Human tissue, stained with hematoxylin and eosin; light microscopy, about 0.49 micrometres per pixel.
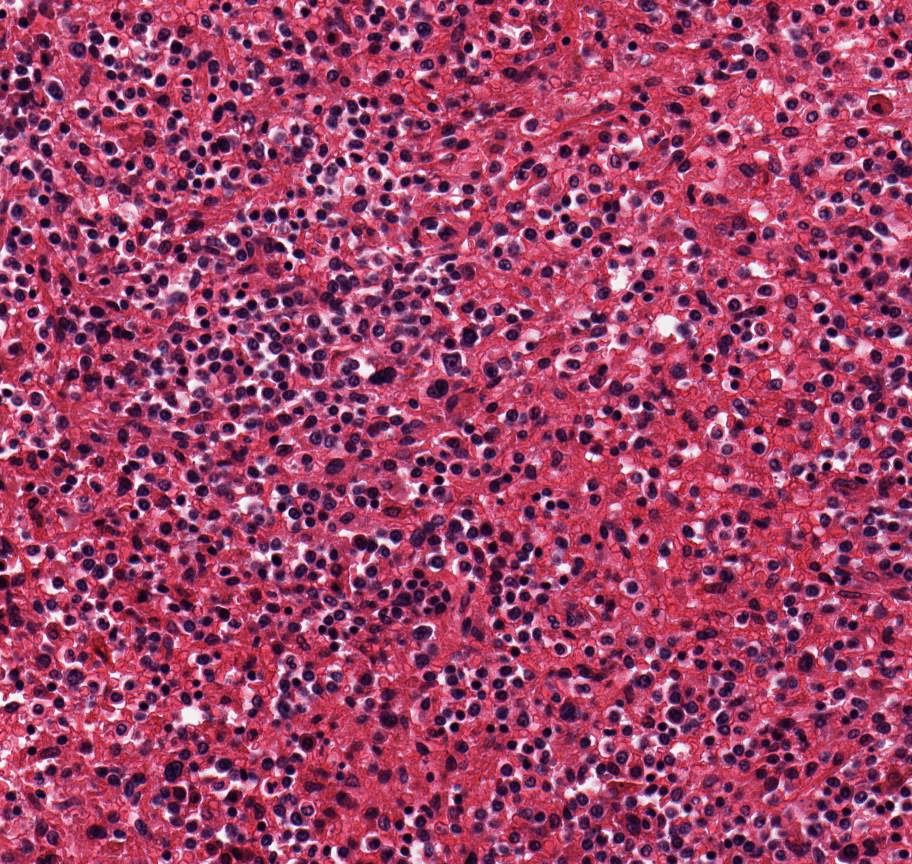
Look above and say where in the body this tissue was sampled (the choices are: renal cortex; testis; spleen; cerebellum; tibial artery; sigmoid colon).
spleen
